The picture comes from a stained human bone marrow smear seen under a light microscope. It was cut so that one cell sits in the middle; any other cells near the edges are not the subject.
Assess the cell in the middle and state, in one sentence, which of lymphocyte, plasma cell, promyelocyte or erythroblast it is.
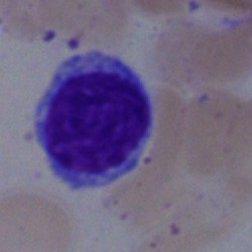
Regarding the central cell, it is a lymphocyte.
